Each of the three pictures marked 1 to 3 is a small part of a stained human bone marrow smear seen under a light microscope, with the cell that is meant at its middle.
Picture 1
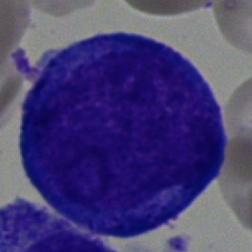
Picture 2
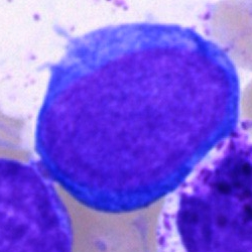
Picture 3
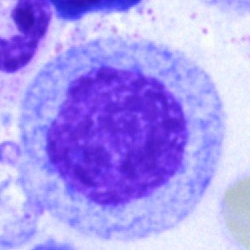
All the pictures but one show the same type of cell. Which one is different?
3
